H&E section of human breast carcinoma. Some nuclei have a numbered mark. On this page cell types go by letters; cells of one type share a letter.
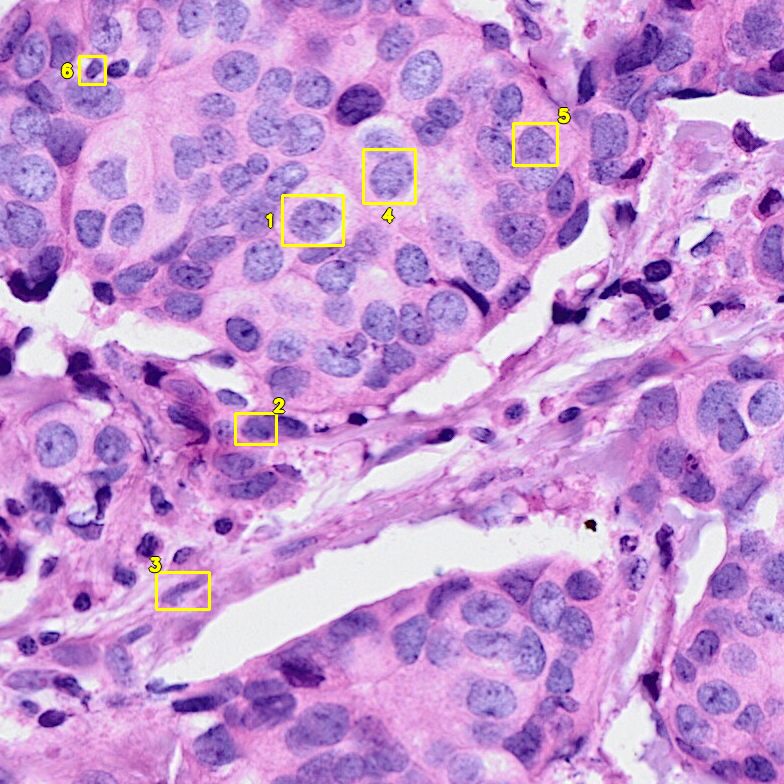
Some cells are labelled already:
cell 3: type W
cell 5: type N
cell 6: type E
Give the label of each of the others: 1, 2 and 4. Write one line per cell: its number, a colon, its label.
1: type N
2: type N
4: type N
